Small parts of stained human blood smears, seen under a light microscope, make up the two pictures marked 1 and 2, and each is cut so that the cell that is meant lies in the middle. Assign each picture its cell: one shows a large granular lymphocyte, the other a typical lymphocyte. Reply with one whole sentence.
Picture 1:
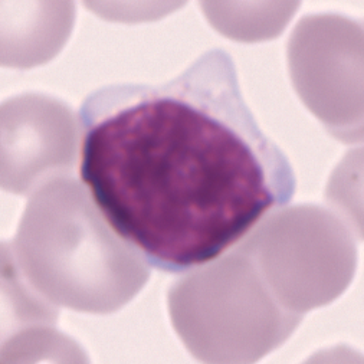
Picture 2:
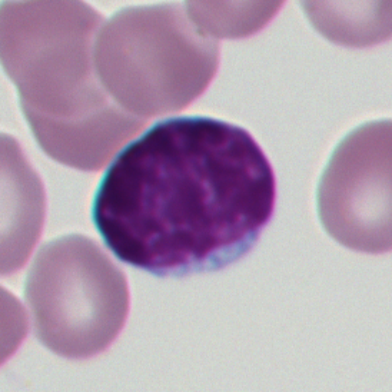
It is picture 1 that shows a large granular lymphocyte, and picture 2 that shows a typical lymphocyte.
